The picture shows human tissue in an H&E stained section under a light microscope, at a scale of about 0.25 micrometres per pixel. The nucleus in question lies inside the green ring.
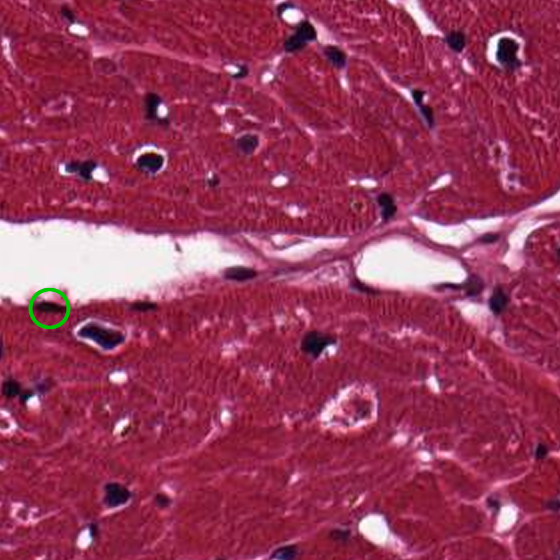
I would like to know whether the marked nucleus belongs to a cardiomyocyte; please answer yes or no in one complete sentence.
No, the marked nucleus is not borne by a cardiomyocyte; it is borne by a supporting cell.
